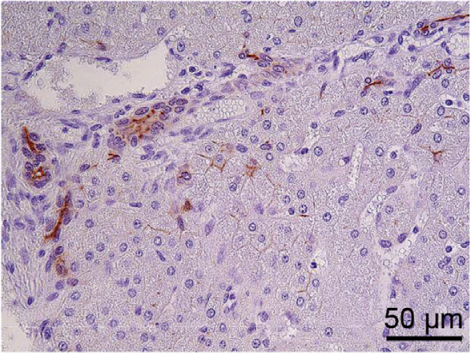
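Liver tissue with a band of connective tissue crossing the upper part of the field, next to a vessel with an open lumen. The band holds many small, elongated and dark nuclei, among which brown-stained clusters and small duct-like groups of cells are seen. Thin brown lines run in a branching pattern between neighbouring parenchymal cells, marking narrow channels at their borders.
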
